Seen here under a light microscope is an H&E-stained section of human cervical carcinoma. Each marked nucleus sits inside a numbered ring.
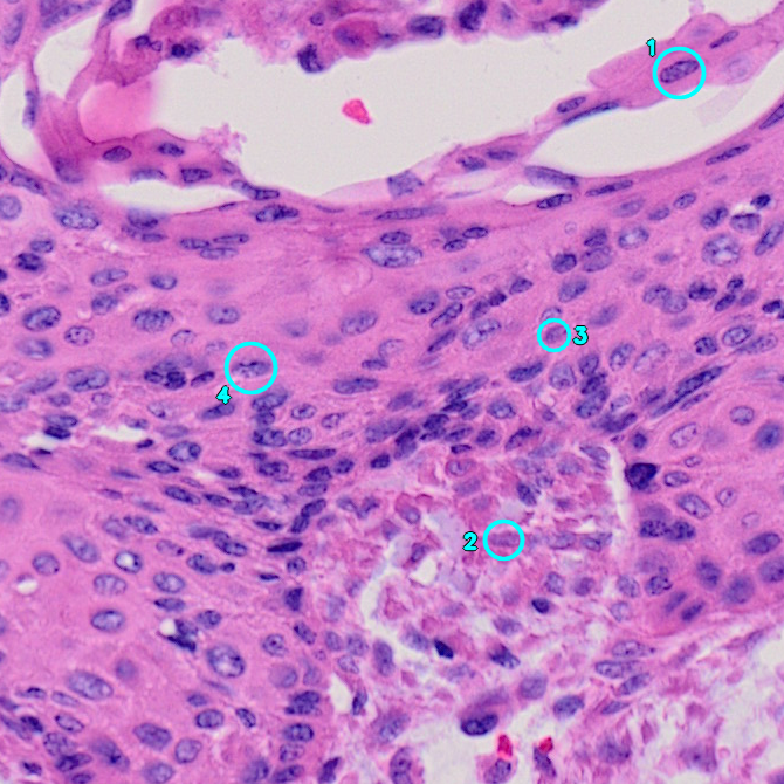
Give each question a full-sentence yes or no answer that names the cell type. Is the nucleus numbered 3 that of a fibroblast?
No, it's not a fibroblast at number 3; that cell is a squamous carcinoma cell.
